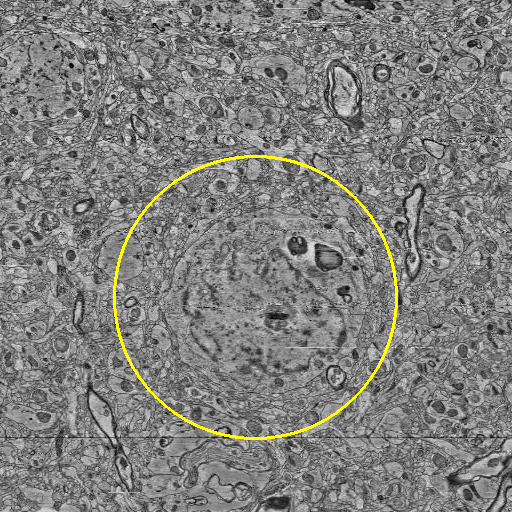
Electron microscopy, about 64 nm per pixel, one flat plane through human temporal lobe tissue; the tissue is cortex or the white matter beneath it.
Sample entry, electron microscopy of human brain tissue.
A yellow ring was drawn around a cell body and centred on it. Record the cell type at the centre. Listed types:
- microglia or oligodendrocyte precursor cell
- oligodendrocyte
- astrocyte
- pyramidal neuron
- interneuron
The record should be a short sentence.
The cell at the ring's centre is an interneuron.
